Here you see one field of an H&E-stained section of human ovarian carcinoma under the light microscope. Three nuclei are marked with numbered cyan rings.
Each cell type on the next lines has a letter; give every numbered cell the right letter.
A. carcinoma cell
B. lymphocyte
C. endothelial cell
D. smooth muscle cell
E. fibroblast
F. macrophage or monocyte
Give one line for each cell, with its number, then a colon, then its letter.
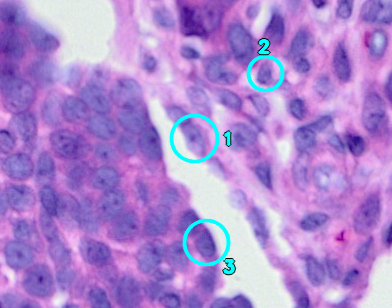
1: A
2: F
3: A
